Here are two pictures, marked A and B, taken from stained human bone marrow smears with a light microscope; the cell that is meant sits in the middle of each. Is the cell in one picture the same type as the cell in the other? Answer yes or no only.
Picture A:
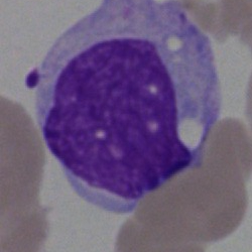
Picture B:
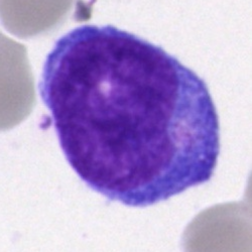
no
